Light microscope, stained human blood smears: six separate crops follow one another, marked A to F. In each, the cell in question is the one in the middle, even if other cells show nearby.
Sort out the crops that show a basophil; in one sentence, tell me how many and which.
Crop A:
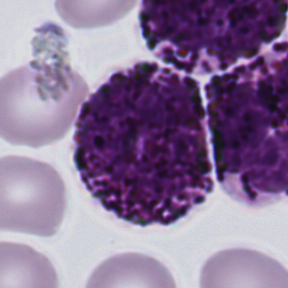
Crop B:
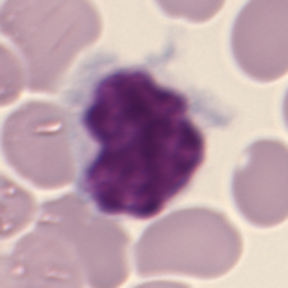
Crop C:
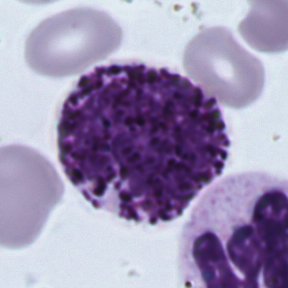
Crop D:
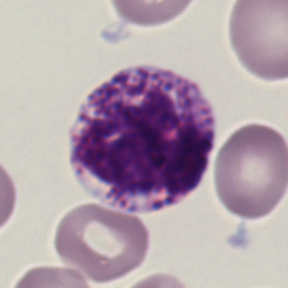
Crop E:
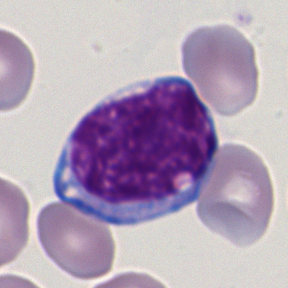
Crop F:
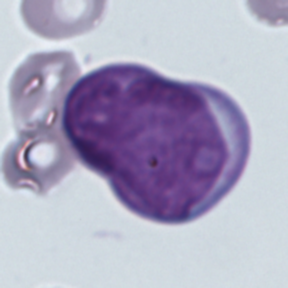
Crops A, C and D show basophils; that is three crops.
